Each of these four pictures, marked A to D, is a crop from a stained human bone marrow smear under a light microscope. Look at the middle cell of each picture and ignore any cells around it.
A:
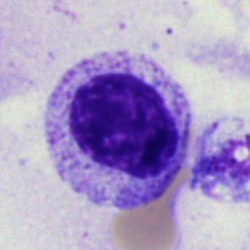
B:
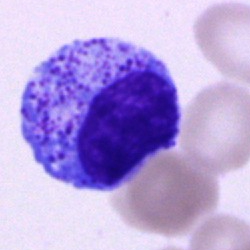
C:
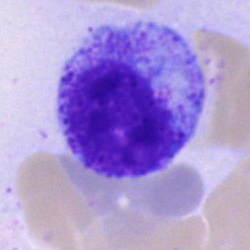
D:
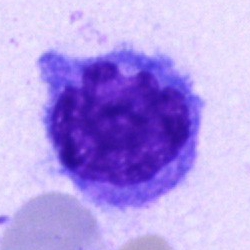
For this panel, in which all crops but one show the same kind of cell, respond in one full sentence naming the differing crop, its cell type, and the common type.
Crop D is a monocyte, the one exception to the myelocytes of the other crops.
